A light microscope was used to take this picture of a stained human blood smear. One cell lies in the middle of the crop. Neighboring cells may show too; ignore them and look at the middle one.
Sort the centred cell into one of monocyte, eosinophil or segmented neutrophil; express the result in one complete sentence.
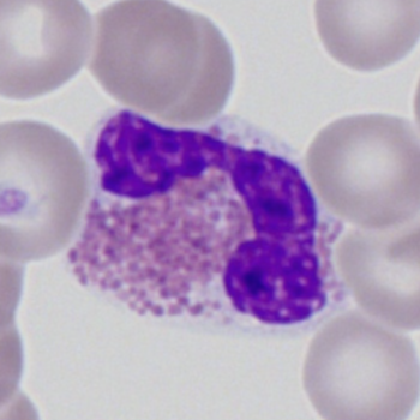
Centred in the crop is an eosinophil.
